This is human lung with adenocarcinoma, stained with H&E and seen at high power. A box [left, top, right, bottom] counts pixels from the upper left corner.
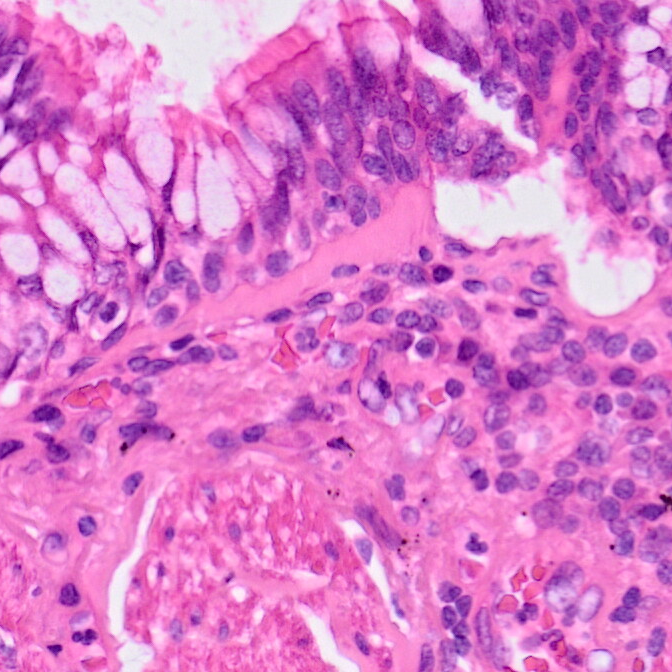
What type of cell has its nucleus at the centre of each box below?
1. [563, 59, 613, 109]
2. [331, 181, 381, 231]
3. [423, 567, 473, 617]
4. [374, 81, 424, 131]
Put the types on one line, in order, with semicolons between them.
ciliated epithelial cell; ciliated epithelial cell; lymphocyte; ciliated epithelial cell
